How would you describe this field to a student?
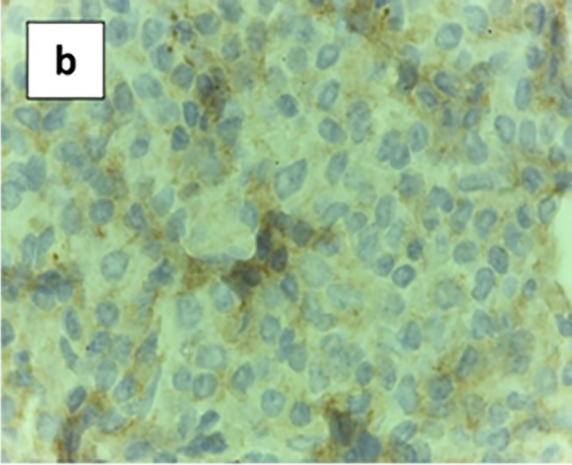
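A sheet of closely packed, fairly uniform cells with round to oval blue nuclei and moderate pale cytoplasm fills the field. Faint to moderate brown staining lies in the cytoplasm and between the cells, darker in a few patches.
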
